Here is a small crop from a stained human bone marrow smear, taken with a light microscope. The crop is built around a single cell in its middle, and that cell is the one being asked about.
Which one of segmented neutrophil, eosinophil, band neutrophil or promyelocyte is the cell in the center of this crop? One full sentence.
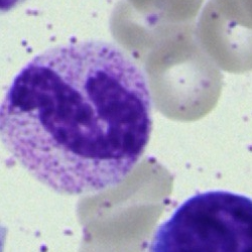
Standing at the centre of this crop is a segmented neutrophil.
